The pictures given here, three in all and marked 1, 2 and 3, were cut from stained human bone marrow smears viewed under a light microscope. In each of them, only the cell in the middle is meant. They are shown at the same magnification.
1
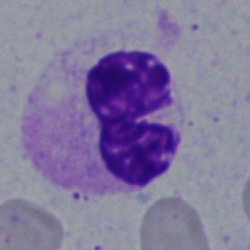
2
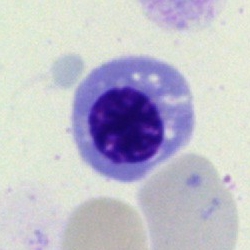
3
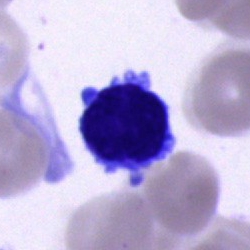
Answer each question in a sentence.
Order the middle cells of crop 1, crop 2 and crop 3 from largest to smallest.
Largest first: 1, 2, 3.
